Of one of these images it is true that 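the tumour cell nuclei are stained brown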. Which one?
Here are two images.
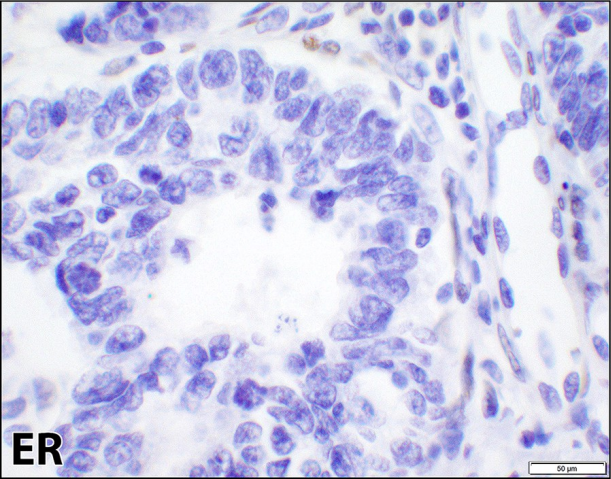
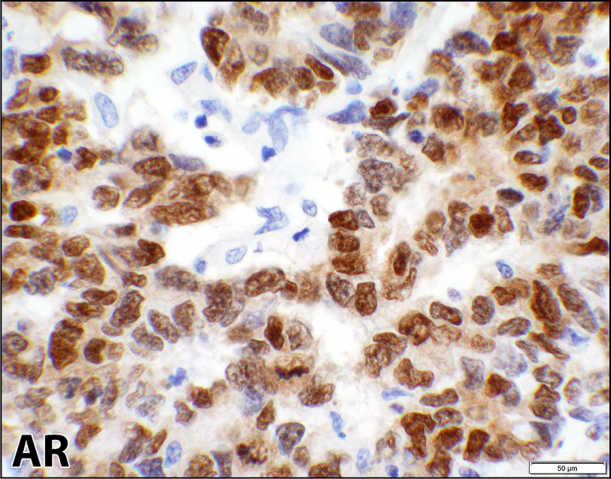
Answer: The second image.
